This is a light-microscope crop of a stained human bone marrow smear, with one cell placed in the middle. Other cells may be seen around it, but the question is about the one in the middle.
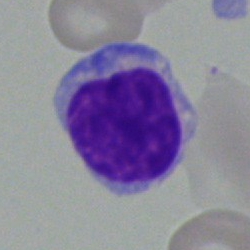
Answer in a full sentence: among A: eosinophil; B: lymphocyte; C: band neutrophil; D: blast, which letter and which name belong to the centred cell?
The expected answer is option B, the central cell being a lymphocyte.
